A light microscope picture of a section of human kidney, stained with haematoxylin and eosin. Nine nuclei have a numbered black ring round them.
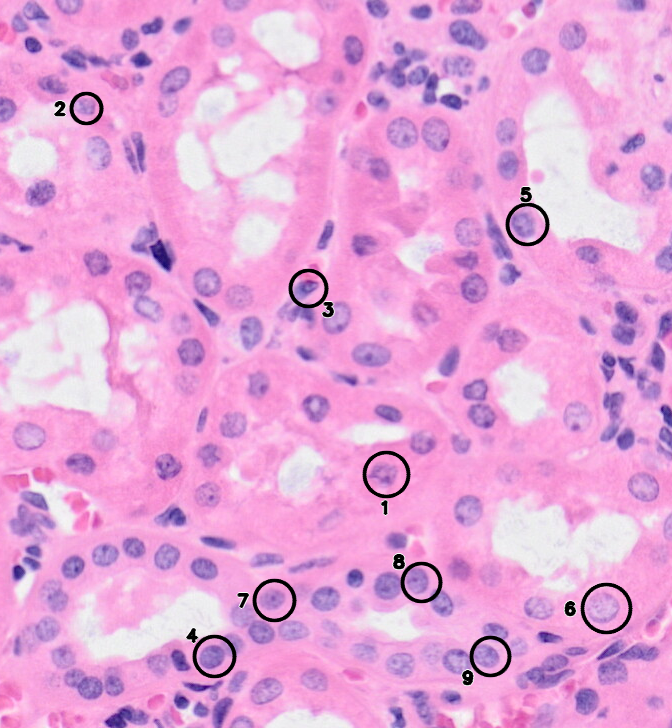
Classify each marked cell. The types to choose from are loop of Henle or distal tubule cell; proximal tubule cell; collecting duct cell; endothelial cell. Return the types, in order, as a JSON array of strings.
["proximal tubule cell", "loop of Henle or distal tubule cell", "endothelial cell", "collecting duct cell", "loop of Henle or distal tubule cell", "proximal tubule cell", "collecting duct cell", "collecting duct cell", "collecting duct cell"]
